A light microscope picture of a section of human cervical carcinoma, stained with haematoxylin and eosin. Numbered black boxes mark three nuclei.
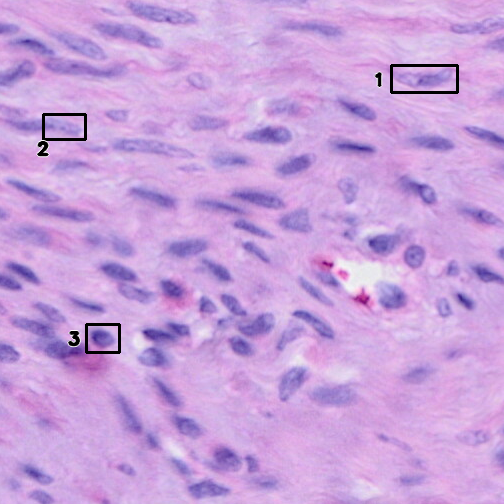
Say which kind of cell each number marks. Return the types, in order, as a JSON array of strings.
["smooth muscle cell", "smooth muscle cell", "fibroblast"]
